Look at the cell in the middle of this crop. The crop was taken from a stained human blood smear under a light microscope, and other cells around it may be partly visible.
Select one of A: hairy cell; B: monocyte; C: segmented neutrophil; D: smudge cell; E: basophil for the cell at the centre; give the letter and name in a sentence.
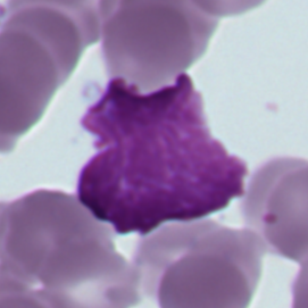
In this crop the central cell is a smudge cell, which option D correctly states.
